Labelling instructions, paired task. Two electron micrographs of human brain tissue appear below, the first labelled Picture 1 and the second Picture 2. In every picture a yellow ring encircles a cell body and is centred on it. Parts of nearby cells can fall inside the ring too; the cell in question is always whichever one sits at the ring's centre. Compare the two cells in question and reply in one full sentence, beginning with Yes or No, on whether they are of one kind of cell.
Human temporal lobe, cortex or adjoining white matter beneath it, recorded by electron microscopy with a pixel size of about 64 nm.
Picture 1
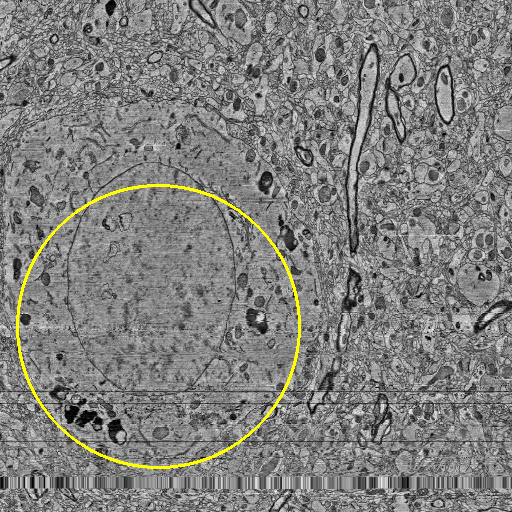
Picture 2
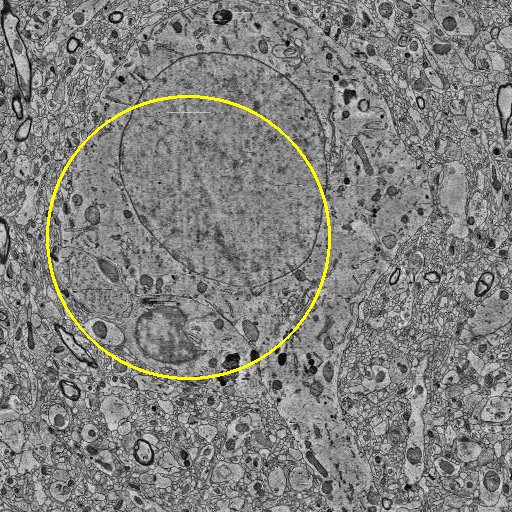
Yes, the two cells at the ring centres in Picture 1 and Picture 2 are of one kind.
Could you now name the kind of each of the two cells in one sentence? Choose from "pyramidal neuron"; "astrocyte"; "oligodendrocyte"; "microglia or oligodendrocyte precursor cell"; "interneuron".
In both pictures the ring is centred on a pyramidal neuron.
